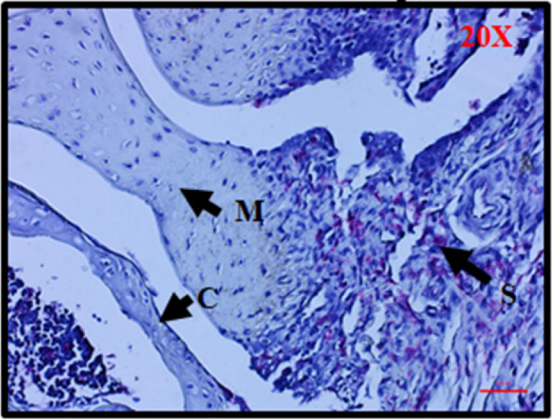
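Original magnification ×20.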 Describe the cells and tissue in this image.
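This is the margin of a knee joint, with articular cartilage, a meniscus and synovium meeting around the joint space. The cartilage at the lower left forms a smooth pale band whose cells sit in small lacunae, and below it lies dark-blue, densely cellular marrow. The meniscus is a pale wedge of matrix with scattered rounded cells lying between the cartilage surfaces. To the right, the synovium is a crowded, disorganised soft tissue packed with blue nuclei. Many cells throughout the synovium carry red stain, giving it a speckled pink appearance.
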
